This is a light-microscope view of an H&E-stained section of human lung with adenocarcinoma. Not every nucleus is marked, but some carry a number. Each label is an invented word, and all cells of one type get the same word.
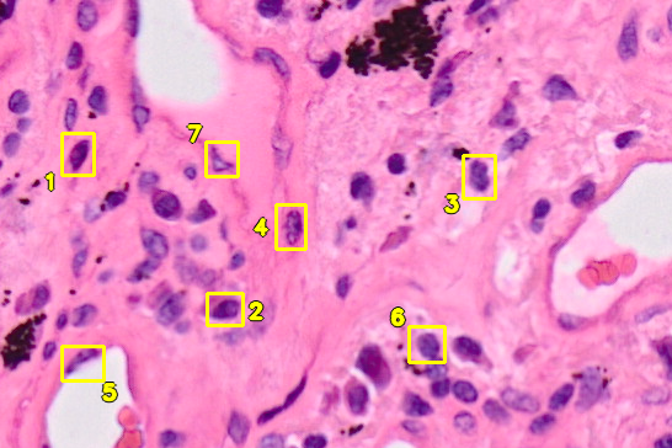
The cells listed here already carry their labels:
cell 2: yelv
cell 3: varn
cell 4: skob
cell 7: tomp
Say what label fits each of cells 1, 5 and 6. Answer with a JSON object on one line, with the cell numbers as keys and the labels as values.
{"1": "yelv", "5": "tomp", "6": "varn"}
